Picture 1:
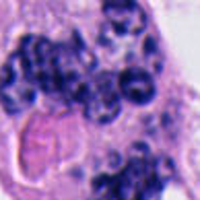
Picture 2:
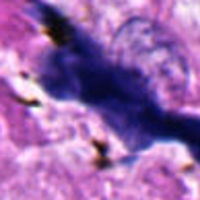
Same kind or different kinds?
Same: syncytial knots.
